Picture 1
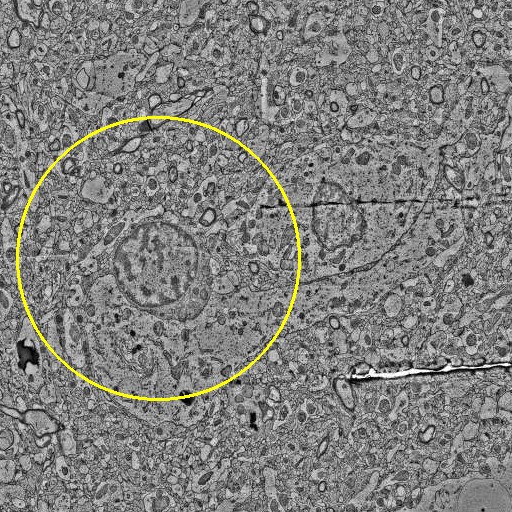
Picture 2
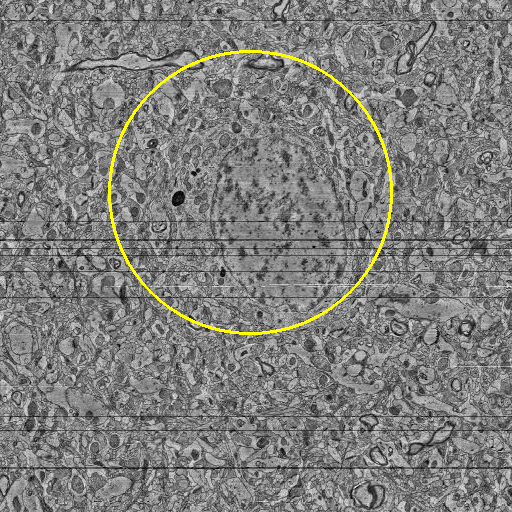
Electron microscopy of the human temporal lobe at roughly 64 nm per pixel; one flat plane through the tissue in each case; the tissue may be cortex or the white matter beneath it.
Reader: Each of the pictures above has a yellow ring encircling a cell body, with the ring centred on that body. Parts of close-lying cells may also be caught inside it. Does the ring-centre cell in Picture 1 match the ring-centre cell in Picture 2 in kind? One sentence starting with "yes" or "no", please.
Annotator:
No, Picture 1 and Picture 2 show ring-centre cells of two kinds.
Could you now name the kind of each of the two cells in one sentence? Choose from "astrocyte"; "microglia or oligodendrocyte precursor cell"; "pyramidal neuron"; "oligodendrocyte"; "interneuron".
The first ring encloses an oligodendrocyte; the second ring encloses an interneuron.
